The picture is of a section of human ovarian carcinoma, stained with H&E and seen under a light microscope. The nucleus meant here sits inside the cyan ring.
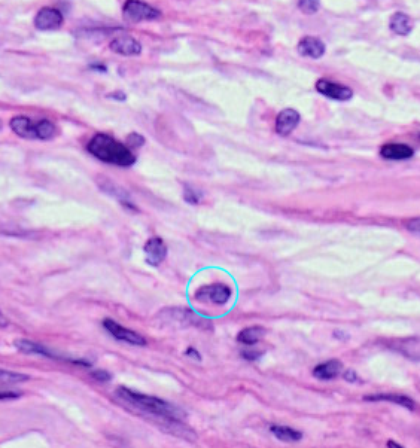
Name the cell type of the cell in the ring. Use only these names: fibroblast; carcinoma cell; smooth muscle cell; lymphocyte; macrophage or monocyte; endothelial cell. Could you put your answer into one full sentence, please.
At the level of cell identity, the cell in the ring is a lymphocyte.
